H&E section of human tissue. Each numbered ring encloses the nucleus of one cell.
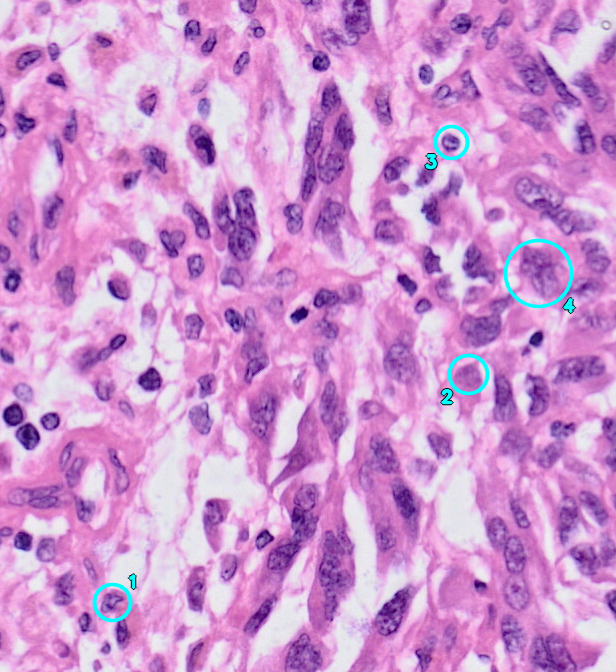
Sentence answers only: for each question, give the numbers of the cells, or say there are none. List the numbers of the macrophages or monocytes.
Of the marked cells, the one numbered 1 is a macrophage or monocyte and the rest are not.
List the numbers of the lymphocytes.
Cell 3 is a lymphocyte, and it is the only one.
